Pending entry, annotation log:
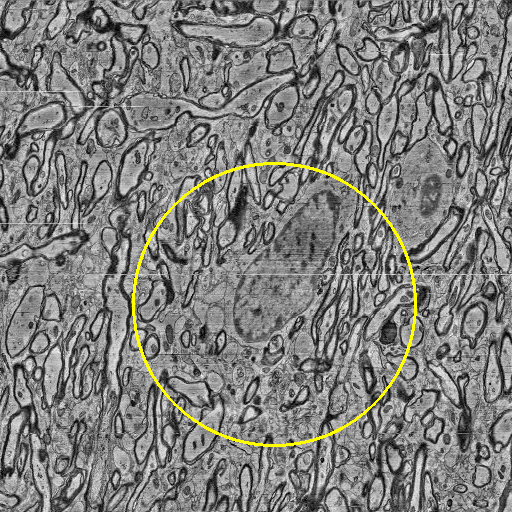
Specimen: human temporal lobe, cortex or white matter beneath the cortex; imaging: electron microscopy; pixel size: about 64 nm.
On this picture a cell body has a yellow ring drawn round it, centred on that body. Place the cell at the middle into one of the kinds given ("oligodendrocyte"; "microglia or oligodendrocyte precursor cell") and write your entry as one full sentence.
The cell body at the middle of the yellow ring belongs to a microglial cell or oligodendrocyte precursor cell.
